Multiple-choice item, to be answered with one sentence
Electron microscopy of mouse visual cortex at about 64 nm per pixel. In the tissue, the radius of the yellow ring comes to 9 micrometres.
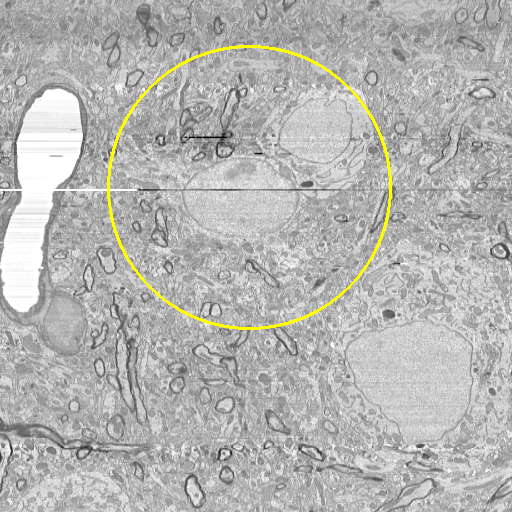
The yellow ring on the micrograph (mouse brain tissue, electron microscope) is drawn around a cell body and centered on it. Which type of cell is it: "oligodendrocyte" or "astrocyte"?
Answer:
The ring is centered on an astrocyte.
